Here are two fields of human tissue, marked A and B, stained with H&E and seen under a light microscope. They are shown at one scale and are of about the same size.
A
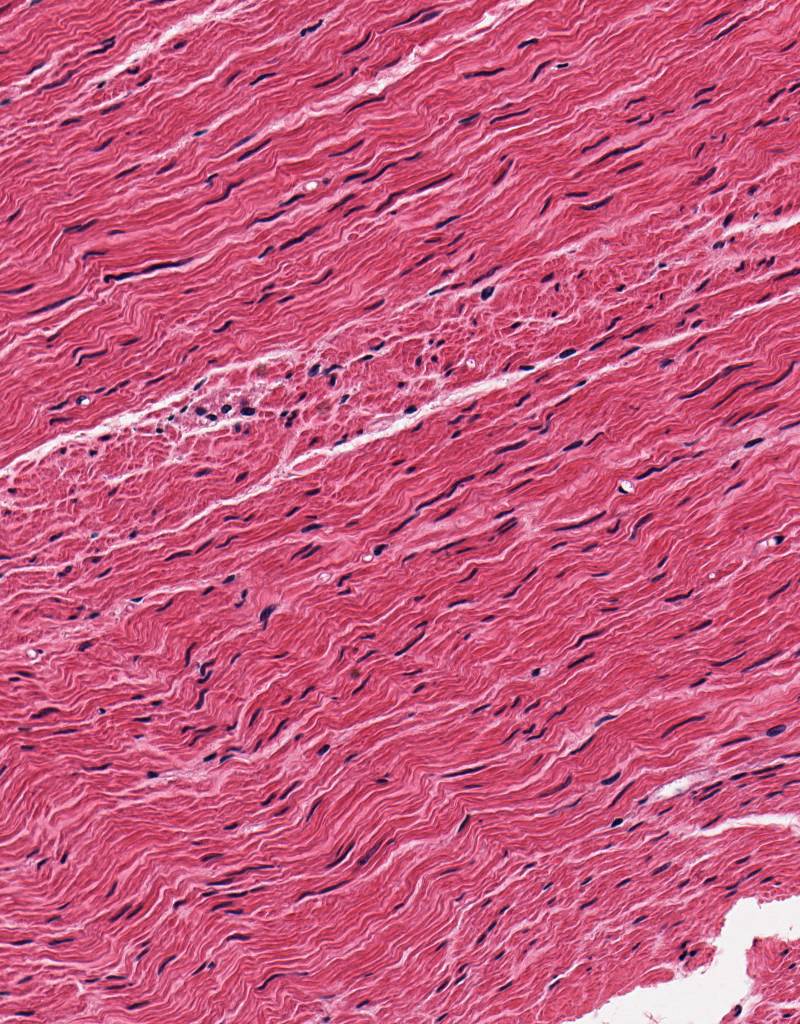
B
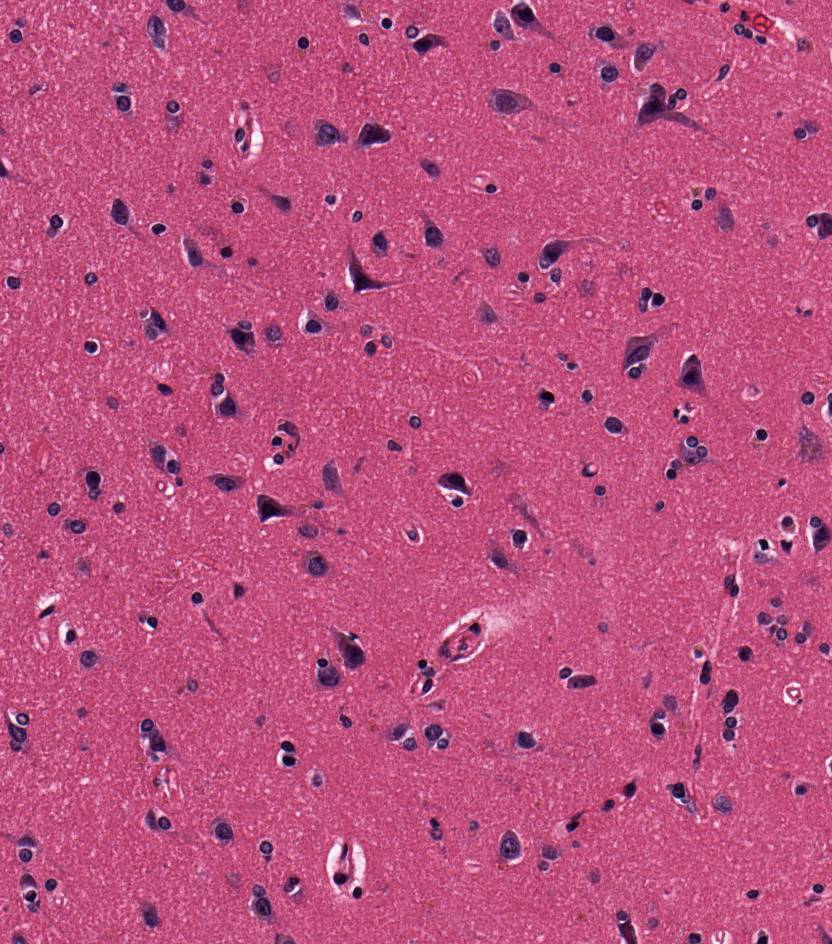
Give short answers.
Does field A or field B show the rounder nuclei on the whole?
B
